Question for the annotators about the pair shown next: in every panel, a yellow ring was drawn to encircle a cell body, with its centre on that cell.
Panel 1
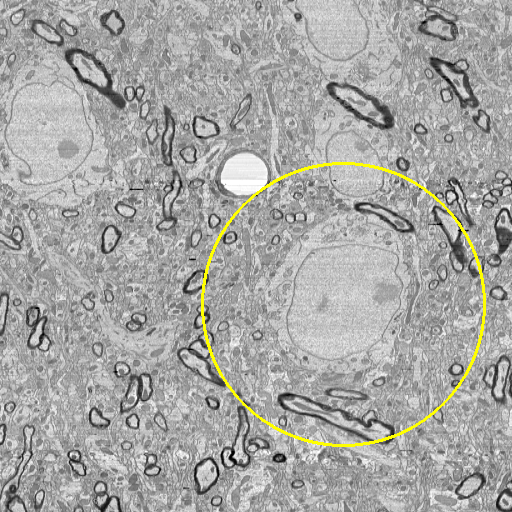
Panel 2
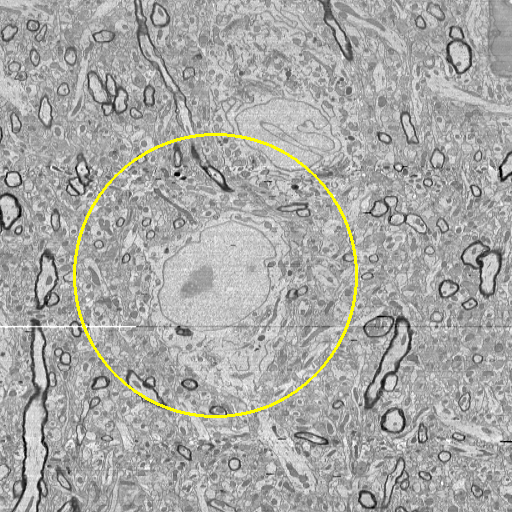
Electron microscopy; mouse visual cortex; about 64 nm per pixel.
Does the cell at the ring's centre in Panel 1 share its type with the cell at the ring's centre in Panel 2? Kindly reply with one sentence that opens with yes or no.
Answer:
Yes, in Panels 1 and 2 the cells at the ring centres belong to a single type.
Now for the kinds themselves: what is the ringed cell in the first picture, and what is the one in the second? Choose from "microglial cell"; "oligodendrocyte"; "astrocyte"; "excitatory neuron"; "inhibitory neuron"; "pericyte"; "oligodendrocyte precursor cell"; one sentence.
The cell at the ring centre is an excitatory neuron in both pictures.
